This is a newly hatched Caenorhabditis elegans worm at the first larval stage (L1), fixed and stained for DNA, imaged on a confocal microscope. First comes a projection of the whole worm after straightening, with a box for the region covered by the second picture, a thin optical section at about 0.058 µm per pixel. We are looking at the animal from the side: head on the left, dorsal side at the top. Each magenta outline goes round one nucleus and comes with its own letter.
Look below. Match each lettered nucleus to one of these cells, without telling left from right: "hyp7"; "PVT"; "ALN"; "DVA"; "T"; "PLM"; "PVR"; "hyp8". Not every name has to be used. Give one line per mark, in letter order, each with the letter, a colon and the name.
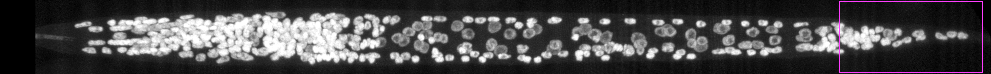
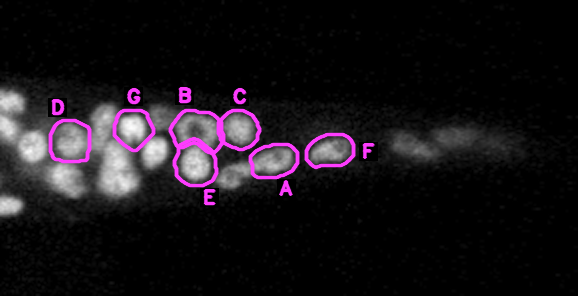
A: hyp7
B: T
C: PVR
D: DVA
E: PLM
F: hyp8
G: ALN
